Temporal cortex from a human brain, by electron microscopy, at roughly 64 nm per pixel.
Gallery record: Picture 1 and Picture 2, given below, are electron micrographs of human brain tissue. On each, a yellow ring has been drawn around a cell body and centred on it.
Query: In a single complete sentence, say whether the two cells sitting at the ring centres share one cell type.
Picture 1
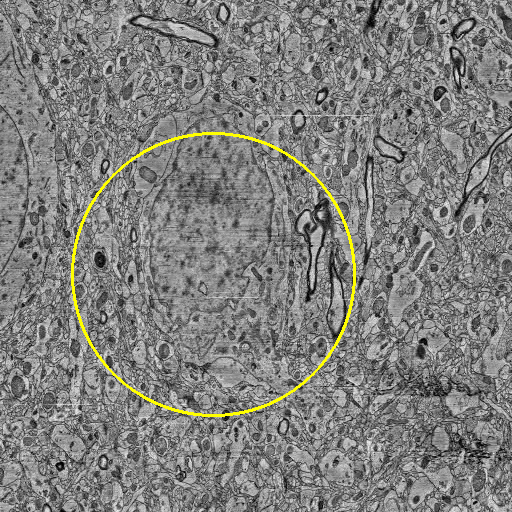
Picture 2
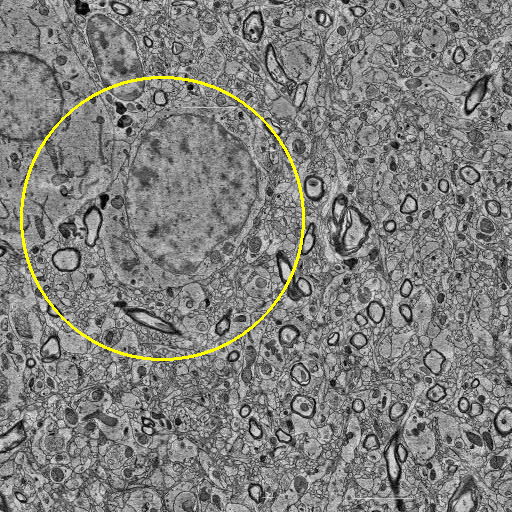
Yes, in both pictures the cell at the ring's centre is of one and the same type.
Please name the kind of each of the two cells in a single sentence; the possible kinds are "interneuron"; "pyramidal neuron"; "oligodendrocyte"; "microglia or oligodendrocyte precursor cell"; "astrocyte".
Both pictures show an interneuron at the centre of the ring.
